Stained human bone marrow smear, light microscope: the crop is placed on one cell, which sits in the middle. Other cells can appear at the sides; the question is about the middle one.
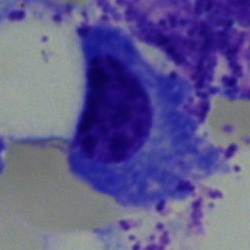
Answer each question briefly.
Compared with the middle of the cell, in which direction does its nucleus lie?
upper left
